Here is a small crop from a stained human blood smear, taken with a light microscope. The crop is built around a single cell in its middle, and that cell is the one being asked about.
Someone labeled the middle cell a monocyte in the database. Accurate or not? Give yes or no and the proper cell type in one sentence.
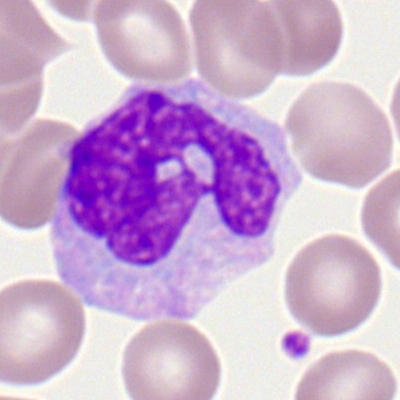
Yes, the cell at the center of the crop is a monocyte.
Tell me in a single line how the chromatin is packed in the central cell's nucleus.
The chromatin in this nucleus is coarsely clumped.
